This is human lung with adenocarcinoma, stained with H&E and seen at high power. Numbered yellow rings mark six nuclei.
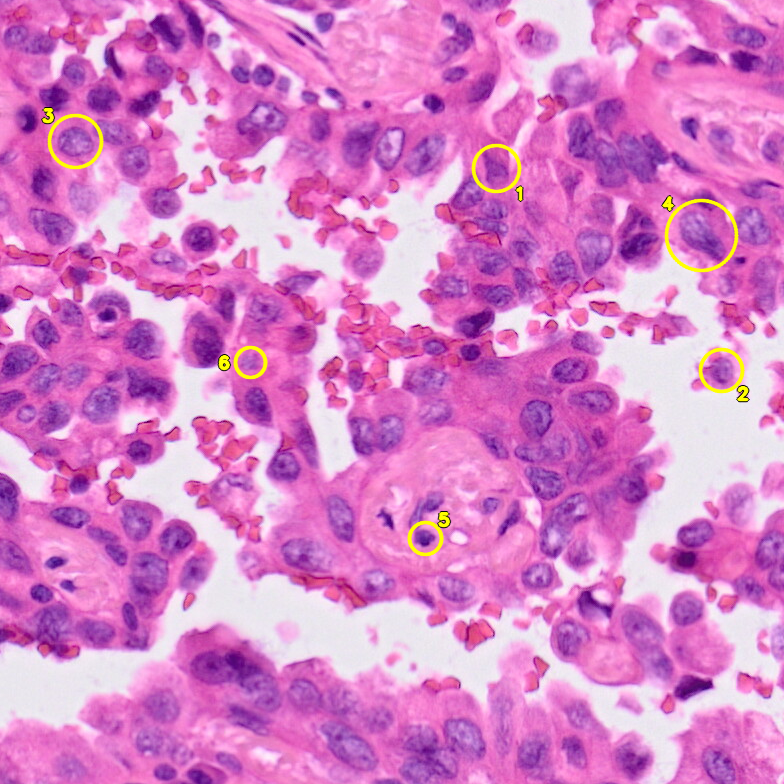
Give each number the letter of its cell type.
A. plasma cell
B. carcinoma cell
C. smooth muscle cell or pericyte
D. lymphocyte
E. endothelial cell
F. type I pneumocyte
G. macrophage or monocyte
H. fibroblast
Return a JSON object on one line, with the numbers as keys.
{"1": "B", "2": "G", "3": "B", "4": "B", "5": "D", "6": "B"}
